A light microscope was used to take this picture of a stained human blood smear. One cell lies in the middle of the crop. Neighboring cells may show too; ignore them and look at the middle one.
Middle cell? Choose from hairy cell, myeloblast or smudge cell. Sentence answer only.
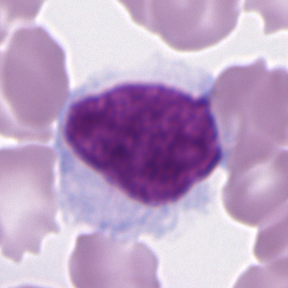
The crop shows a hairy cell in its centre.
